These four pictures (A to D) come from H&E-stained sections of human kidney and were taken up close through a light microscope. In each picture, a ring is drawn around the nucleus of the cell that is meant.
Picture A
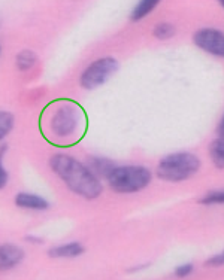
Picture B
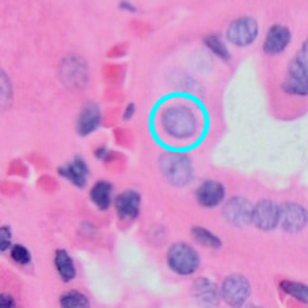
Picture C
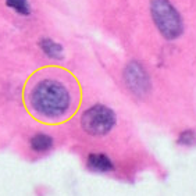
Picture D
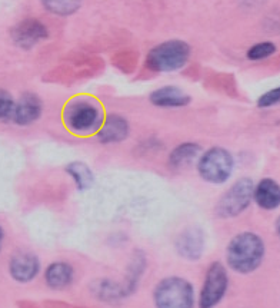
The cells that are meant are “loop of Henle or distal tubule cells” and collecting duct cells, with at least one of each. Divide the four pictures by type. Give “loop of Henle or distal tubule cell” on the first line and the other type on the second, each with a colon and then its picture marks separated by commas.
loop of Henle or distal tubule cell: C
collecting duct cell: A, B, D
